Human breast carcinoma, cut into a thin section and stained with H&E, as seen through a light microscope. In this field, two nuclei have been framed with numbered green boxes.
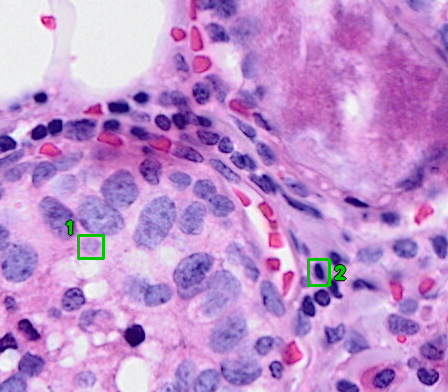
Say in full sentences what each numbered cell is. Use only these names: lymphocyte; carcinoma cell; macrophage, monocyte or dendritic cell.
Cell 1 is a carcinoma cell. Cell 2 is a lymphocyte.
